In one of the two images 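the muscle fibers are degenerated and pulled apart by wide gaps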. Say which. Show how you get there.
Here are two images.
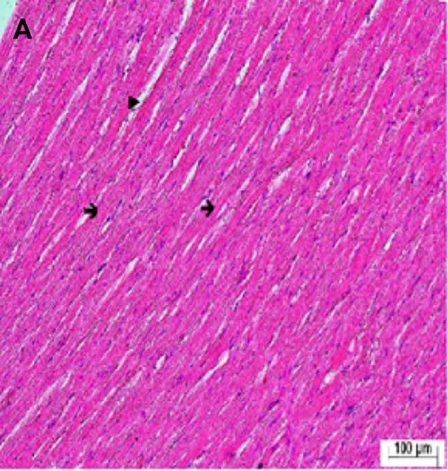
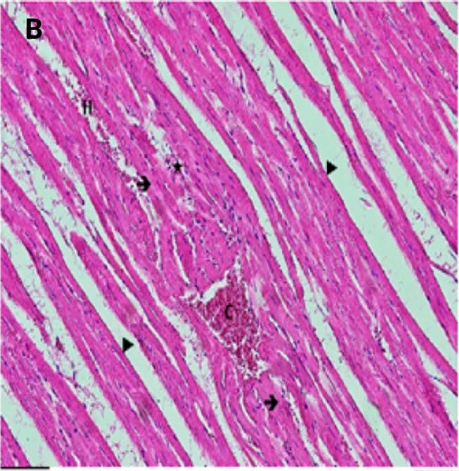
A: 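Second image: fibers are separated by wide pale gaps, with a disrupted area holding red cells and scattered nuclei. First image: fibers are tightly packed and evenly pink with only narrow clefts.
Answer: the second image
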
